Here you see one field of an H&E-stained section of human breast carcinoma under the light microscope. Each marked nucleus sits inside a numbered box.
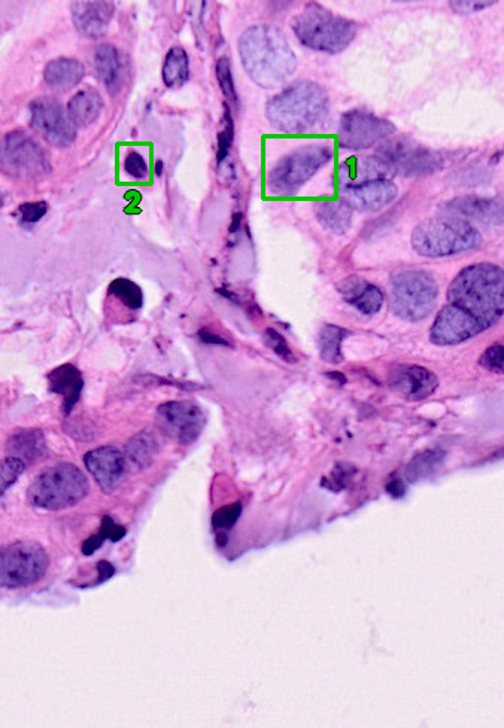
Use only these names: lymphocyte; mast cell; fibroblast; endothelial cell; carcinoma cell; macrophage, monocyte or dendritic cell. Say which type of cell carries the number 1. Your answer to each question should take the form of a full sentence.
Cell 1 in the field is a carcinoma cell.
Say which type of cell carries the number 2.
Of the numbered cells, the one labelled 2 is a mast cell.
